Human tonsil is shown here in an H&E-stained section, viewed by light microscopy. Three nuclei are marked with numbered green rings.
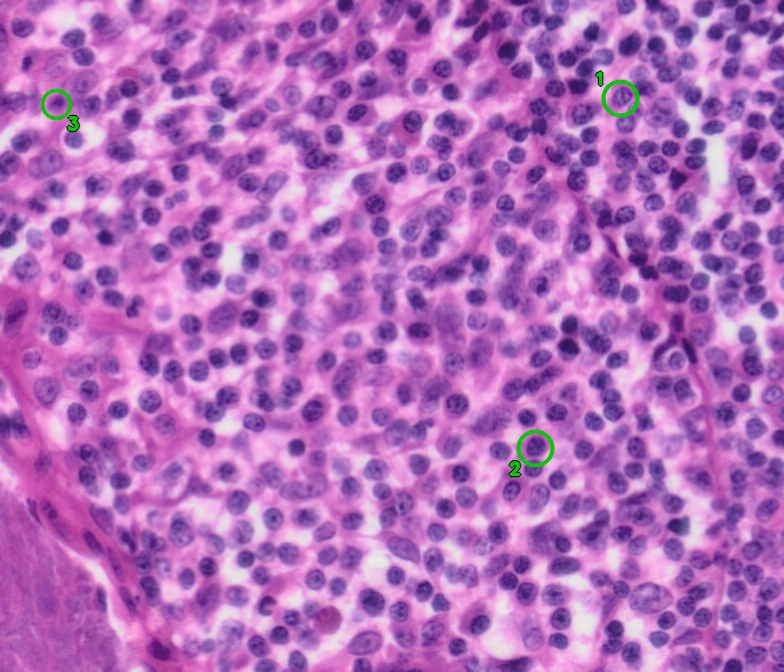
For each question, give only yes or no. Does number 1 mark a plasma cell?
yes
